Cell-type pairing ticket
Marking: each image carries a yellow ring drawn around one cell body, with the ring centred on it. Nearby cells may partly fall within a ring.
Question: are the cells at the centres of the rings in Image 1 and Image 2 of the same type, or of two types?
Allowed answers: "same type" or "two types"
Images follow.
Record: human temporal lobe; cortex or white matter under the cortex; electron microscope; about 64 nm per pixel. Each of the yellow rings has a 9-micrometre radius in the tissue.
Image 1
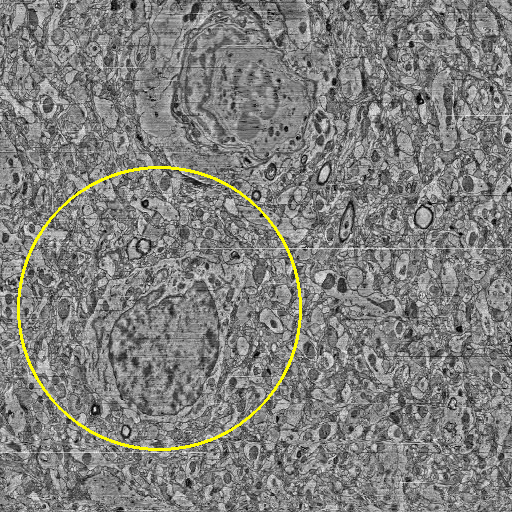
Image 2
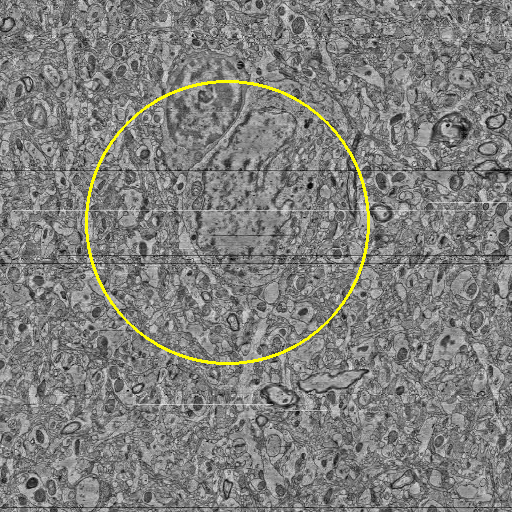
same type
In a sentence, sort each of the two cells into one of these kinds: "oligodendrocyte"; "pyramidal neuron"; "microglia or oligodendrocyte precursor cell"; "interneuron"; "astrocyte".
Each cell, in the first picture and the second, is an interneuron.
